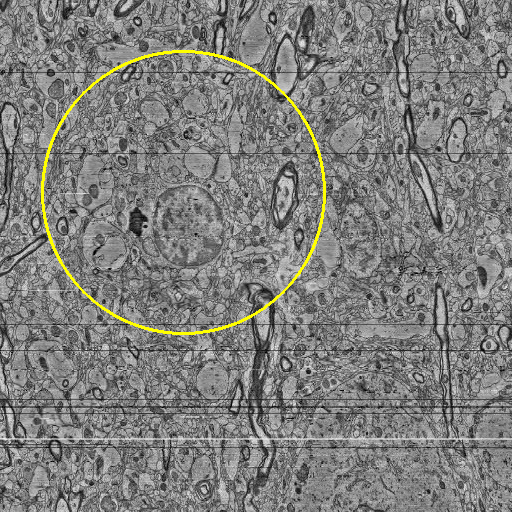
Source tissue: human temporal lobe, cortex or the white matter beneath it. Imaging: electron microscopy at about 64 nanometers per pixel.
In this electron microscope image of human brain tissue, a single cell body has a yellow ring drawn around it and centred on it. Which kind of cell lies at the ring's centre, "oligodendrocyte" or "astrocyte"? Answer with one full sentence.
It is an oligodendrocyte whose cell body lies at the centre of the yellow ring here.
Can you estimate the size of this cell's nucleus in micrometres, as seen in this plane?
Approximately 5 micrometres across, in this plane.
